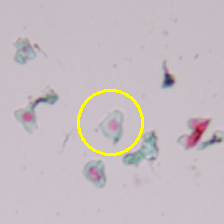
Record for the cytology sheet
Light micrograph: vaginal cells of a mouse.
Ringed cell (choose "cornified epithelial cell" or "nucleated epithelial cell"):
nucleated epithelial cell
